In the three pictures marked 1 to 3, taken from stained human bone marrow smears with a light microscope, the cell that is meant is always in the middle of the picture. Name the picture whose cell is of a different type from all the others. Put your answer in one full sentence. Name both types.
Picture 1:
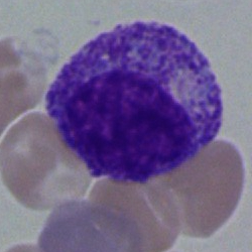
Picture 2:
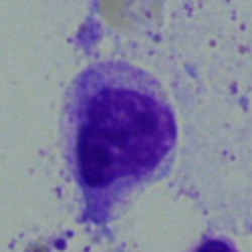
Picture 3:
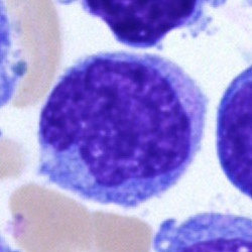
The different one is picture 3; it shows a monocyte, whereas all the others show myelocytes.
